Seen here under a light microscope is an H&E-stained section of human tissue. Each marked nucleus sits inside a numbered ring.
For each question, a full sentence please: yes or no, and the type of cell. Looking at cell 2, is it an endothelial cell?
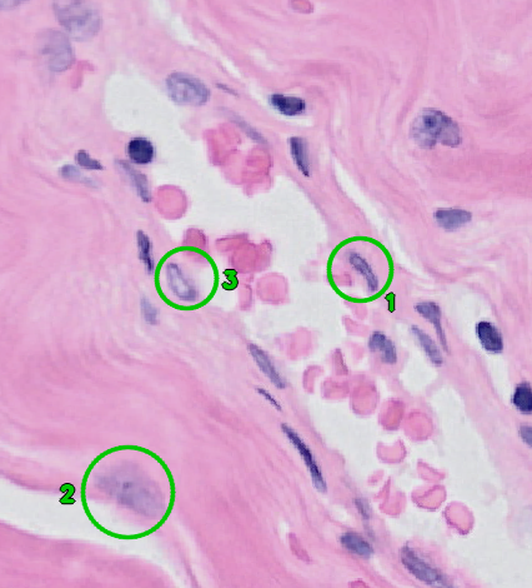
No, number 2 corresponds to a fibroblast, not an endothelial cell.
